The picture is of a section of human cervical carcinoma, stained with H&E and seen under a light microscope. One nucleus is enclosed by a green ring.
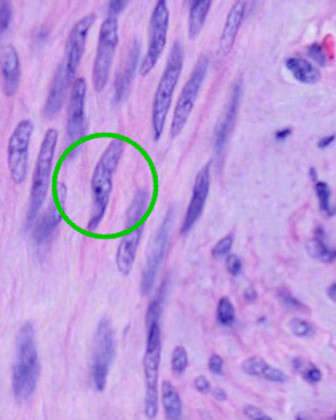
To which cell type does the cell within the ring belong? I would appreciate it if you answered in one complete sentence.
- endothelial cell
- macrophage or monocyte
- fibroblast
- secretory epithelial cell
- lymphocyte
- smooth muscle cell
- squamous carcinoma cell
On this particular slide, the cell within the ring is a smooth muscle cell.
